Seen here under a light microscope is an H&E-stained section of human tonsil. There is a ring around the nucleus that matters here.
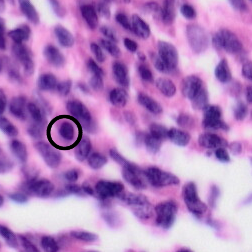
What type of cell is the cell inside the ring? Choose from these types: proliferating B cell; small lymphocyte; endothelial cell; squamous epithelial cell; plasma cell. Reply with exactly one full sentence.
For cell typing purposes, the cell inside the ring is a proliferating B cell.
